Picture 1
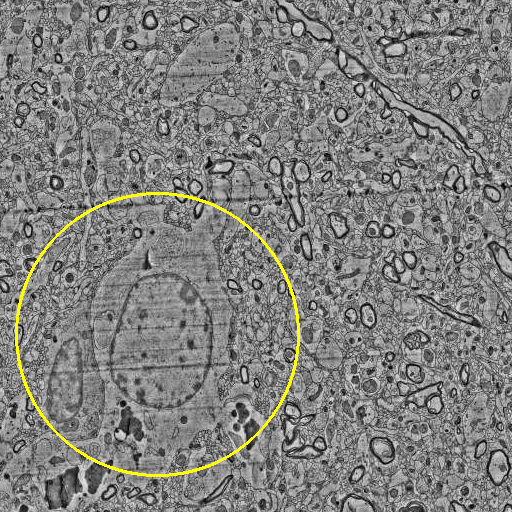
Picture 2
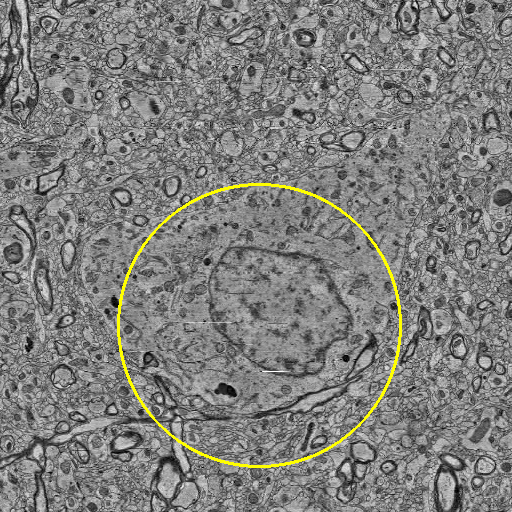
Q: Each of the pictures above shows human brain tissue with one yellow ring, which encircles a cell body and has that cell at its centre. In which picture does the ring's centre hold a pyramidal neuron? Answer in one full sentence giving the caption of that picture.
Picture 2 is the one whose ring is centred on the cell in question.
